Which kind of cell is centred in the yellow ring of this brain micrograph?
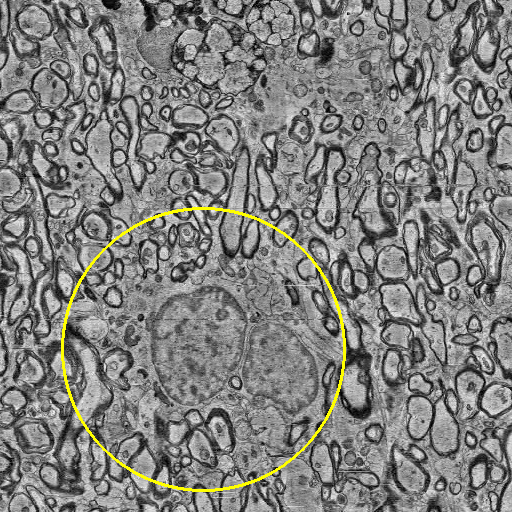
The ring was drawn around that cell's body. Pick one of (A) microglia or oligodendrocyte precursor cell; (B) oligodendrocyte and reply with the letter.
B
